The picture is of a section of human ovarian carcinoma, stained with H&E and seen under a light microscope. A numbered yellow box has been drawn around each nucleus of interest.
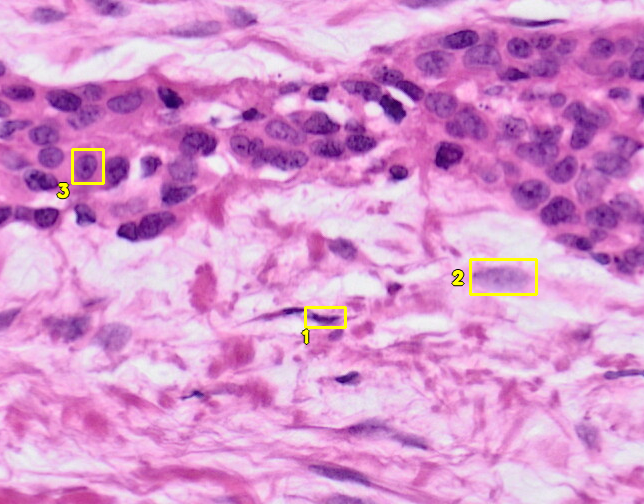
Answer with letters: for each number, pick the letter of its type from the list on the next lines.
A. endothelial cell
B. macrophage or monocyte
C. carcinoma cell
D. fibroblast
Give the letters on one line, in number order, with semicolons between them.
D; D; C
